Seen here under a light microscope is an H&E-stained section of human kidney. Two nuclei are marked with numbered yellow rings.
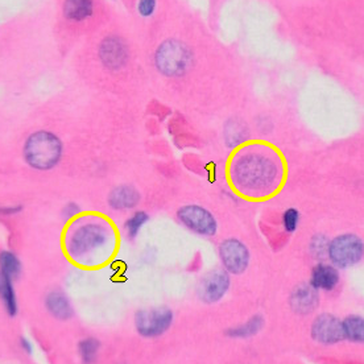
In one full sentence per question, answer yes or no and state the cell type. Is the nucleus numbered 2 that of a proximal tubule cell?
No, the right label for cell 2 is a loop of Henle or distal tubule cell rather than a proximal tubule cell.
